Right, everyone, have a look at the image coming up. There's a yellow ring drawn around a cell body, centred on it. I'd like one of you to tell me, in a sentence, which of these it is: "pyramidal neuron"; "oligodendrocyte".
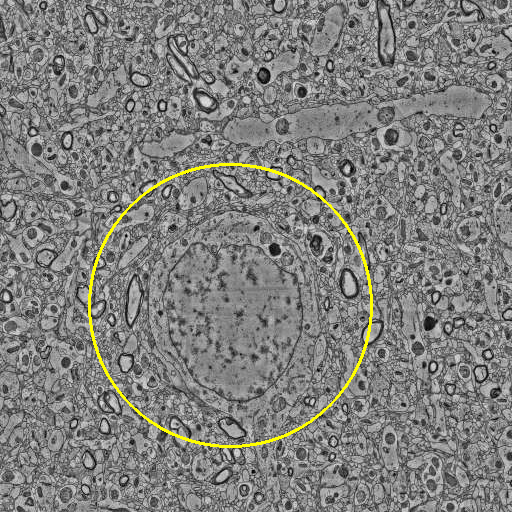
The yellow ring sits on a pyramidal neuron.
